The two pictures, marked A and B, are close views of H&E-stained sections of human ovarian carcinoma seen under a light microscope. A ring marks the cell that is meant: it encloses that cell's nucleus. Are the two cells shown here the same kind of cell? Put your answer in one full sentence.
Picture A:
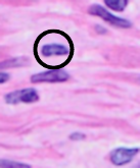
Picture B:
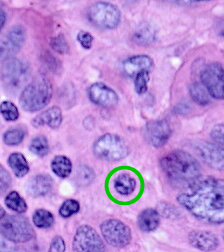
Yes, they are the same type: both are lymphocytes.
